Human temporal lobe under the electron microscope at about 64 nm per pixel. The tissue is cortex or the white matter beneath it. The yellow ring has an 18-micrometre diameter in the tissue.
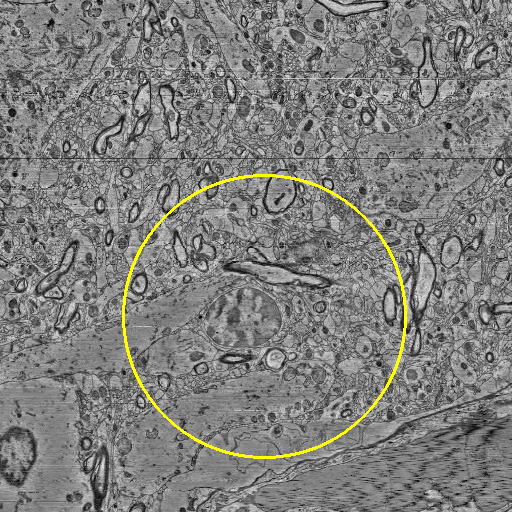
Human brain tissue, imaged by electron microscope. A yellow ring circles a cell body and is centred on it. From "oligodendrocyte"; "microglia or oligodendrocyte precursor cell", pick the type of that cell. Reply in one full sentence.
The cell body at the centre of the yellow ring belongs to a microglial cell or oligodendrocyte precursor cell.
